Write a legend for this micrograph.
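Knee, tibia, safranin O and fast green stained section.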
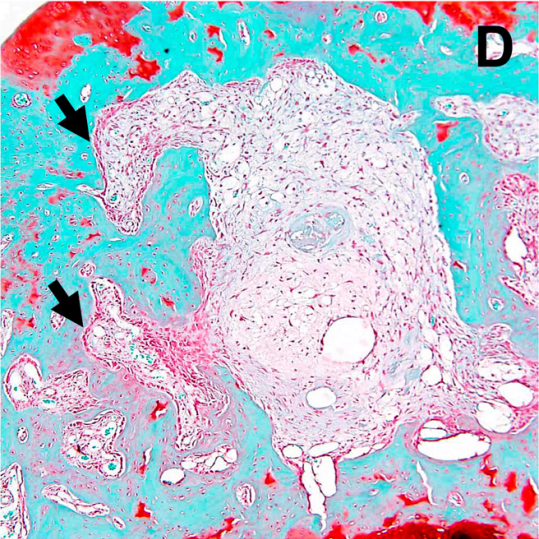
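This section of subchondral bone shows a large cyst filled with fibrous tissue, enclosed by thick green-stained bone. The cyst contents are pale pink, made of spindle-shaped cells with small elongated nuclei set among loose wavy fibres, with a few small vessels and clear spaces. The surrounding bone is dense and broad, with scattered osteocytes in lacunae and irregular, scalloped margins. Small red-stained patches of cartilage matrix are seen at the upper edge and in places within the bone.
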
